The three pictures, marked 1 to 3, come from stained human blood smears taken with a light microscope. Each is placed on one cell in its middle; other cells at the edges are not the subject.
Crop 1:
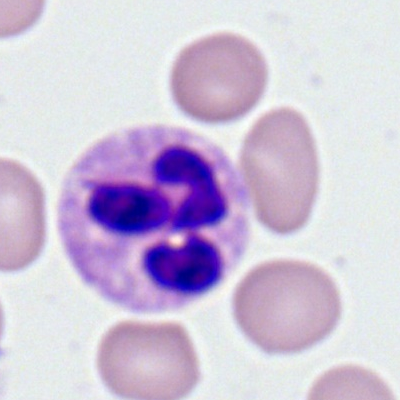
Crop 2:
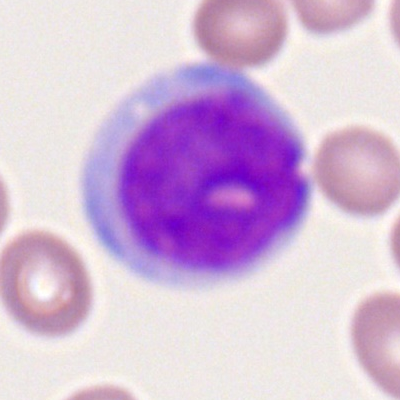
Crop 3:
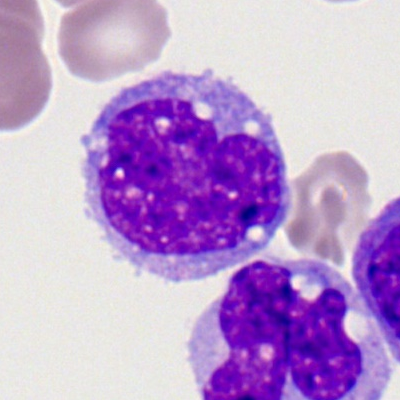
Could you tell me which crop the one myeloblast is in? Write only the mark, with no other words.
2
